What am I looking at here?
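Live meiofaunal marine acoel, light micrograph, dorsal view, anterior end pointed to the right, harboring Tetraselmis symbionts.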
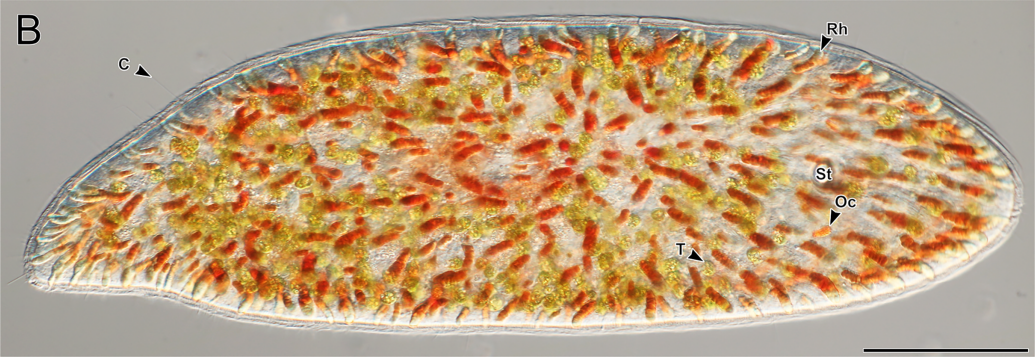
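The rhabdoid gland cells are rod- to club-shaped and many lie radially, pointing toward the body margin. Fine cilia project from the body surface.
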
